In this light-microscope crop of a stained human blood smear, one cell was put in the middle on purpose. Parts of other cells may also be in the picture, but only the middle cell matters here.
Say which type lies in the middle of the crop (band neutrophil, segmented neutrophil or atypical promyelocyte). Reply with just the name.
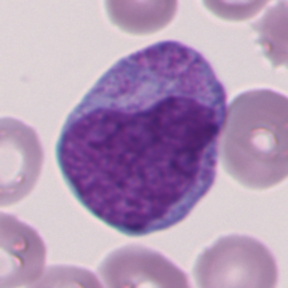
atypical promyelocyte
